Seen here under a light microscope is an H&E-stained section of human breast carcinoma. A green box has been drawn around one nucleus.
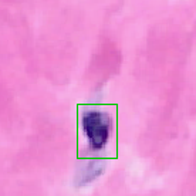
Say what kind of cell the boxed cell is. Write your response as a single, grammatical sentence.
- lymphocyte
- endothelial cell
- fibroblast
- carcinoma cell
Students should answer that the boxed cell is a lymphocyte.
